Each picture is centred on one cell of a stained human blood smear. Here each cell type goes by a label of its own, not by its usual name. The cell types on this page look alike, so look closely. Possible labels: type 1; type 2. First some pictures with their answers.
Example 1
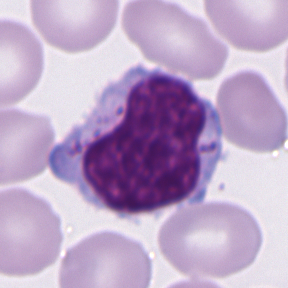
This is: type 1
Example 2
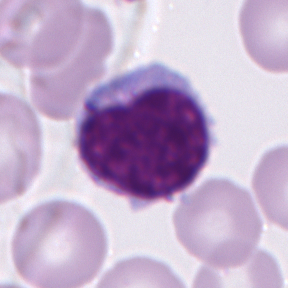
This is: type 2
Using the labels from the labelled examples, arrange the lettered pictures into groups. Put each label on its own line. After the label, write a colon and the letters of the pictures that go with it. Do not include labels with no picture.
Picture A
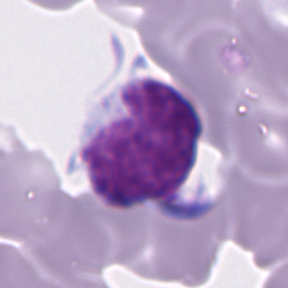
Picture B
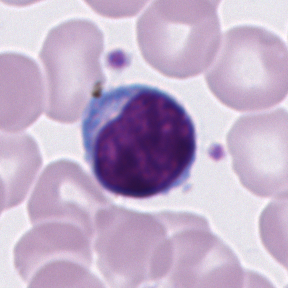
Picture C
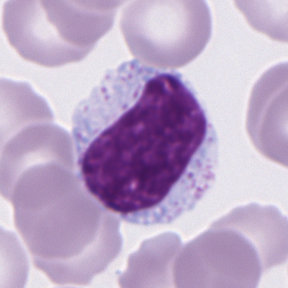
type 1: C
type 2: A, B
